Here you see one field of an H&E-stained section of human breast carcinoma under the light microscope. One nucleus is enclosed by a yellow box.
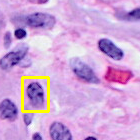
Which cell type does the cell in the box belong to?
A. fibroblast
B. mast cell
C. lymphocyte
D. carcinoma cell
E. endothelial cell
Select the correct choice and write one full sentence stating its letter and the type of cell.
Here the cell in the box is a mast cell; pick option B.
